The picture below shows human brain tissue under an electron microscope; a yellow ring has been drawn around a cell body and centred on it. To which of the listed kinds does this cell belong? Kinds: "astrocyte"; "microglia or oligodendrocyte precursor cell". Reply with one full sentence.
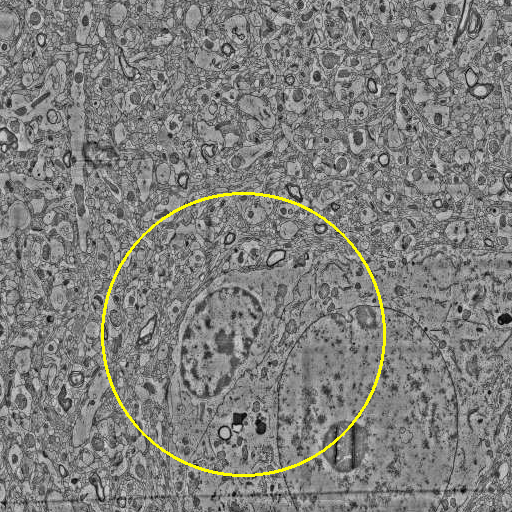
It is a microglial cell or oligodendrocyte precursor cell that the yellow ring in the picture is centred on.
